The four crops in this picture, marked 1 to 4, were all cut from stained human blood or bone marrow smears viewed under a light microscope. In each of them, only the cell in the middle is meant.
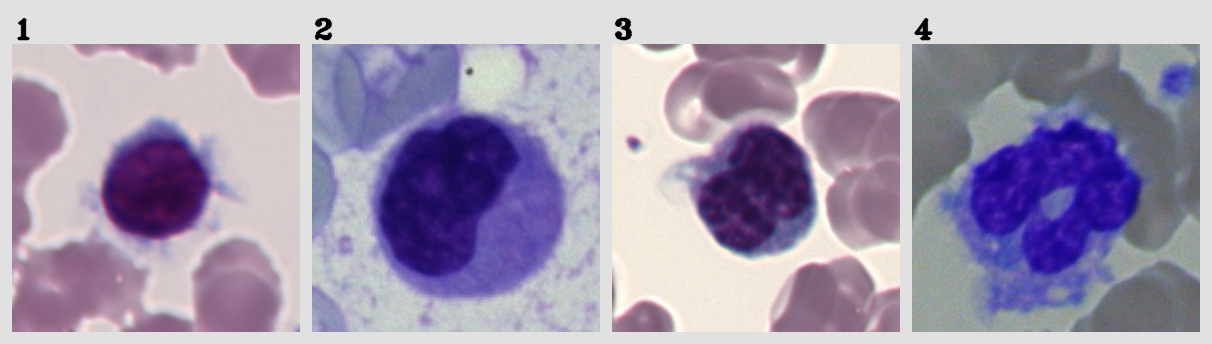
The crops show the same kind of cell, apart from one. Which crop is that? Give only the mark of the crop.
1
